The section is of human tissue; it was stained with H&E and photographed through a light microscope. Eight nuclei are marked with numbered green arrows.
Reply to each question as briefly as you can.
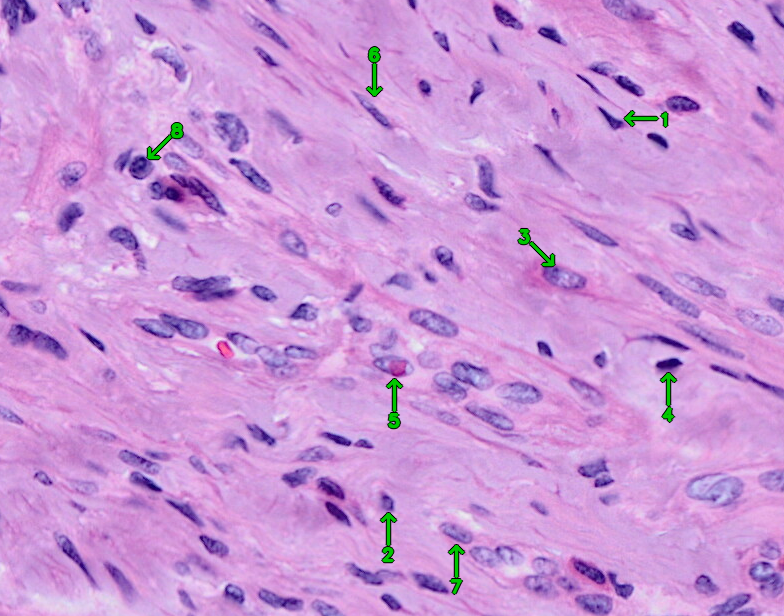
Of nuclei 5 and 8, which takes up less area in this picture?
8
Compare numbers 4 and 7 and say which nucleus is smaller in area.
4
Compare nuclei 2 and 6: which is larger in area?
6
